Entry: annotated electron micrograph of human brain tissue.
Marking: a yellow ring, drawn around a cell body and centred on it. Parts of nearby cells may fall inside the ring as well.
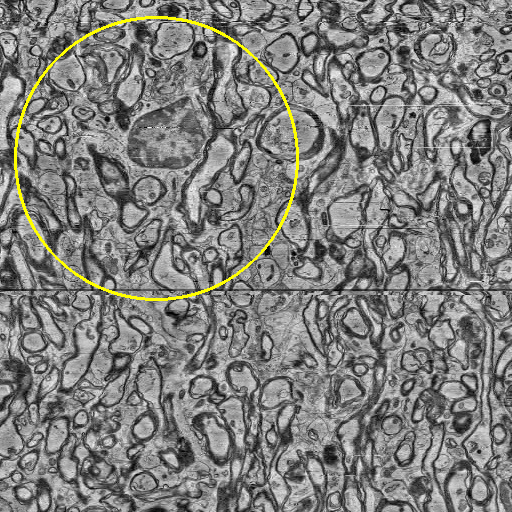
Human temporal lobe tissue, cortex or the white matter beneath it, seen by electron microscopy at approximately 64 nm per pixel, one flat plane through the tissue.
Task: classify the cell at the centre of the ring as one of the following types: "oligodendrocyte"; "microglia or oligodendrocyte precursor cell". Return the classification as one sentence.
The marked cell is classified as a microglial cell or oligodendrocyte precursor cell.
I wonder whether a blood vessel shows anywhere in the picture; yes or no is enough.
No, there is none.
